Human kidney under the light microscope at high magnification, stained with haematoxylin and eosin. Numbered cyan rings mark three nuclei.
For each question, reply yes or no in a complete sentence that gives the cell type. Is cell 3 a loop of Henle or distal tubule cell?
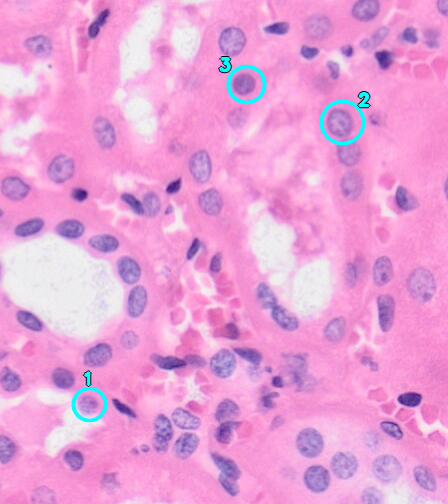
No, sorry, the cell labelled 3 is not a loop of Henle or distal tubule cell; it is a proximal tubule cell.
